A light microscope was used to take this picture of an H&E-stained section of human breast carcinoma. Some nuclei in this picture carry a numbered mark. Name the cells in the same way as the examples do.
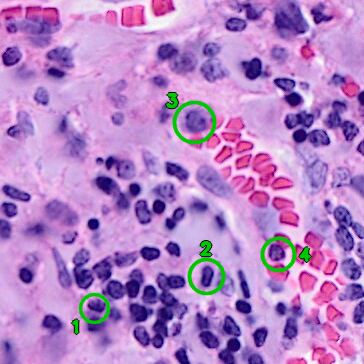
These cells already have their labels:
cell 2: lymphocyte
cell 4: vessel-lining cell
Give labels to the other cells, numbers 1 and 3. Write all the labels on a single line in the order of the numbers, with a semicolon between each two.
lymphocyte; vessel-lining cell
